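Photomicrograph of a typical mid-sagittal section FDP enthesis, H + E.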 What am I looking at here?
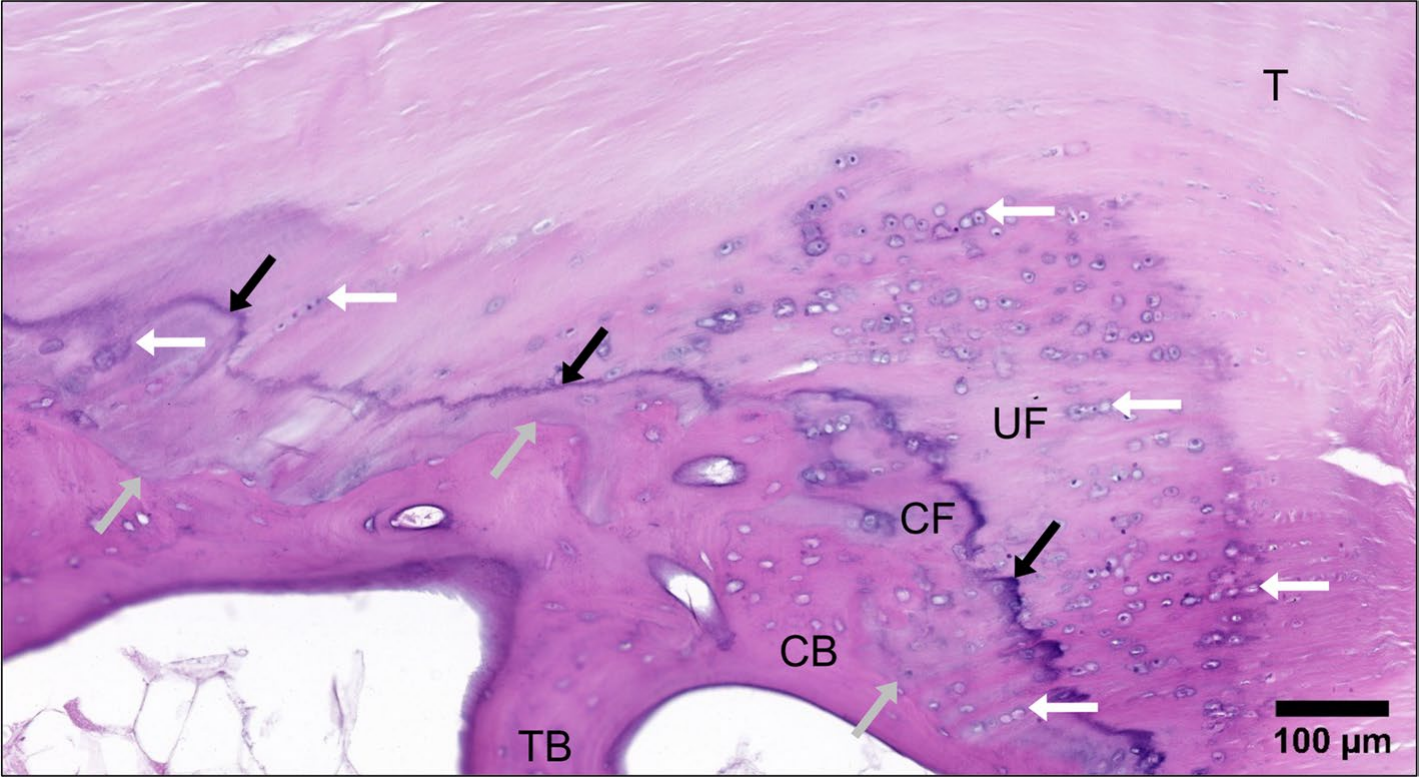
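At the top lies pale pink tendon with long parallel collagen fibres and few, flattened cells. Below and to the right the matrix becomes a deeper pink-purple and holds many rounded fibrochondrocytes, each in a clear lacuna, often lined up in rows along the fibres. A thin, wavy, dark purple line crosses this cartilage-like zone, and between it and the bone lies a narrower band of calcified fibrocartilage. At the bottom the bone stains a strong deep pink; it is a thin cortical plate continuous with slender trabeculae, with small vascular canals and marrow fat cells seen as empty white spaces at the lower left.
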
